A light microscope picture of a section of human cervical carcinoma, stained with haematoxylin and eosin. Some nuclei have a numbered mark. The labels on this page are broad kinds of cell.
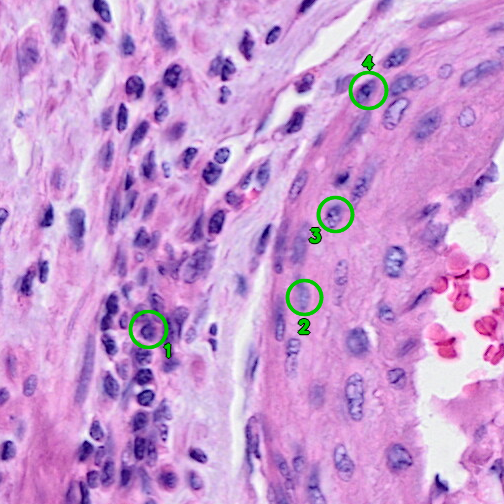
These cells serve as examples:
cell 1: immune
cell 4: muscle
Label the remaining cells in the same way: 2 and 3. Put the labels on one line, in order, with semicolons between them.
muscle; muscle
